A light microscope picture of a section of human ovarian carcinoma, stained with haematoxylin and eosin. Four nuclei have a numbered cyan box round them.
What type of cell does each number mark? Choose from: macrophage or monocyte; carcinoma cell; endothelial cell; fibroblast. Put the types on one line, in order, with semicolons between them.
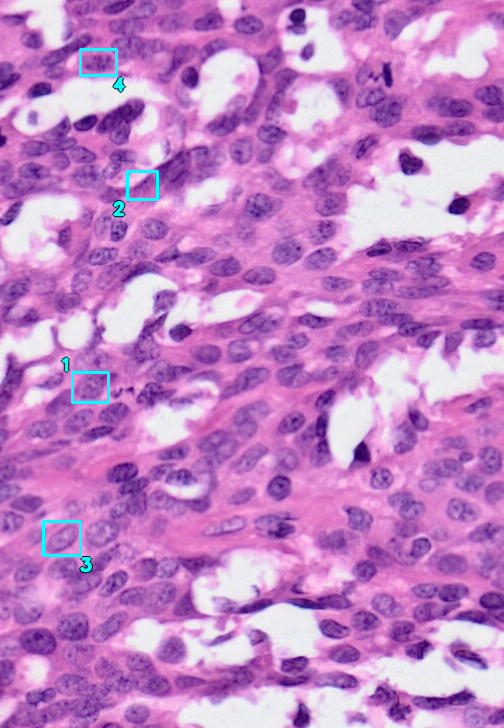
carcinoma cell; carcinoma cell; carcinoma cell; macrophage or monocyte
